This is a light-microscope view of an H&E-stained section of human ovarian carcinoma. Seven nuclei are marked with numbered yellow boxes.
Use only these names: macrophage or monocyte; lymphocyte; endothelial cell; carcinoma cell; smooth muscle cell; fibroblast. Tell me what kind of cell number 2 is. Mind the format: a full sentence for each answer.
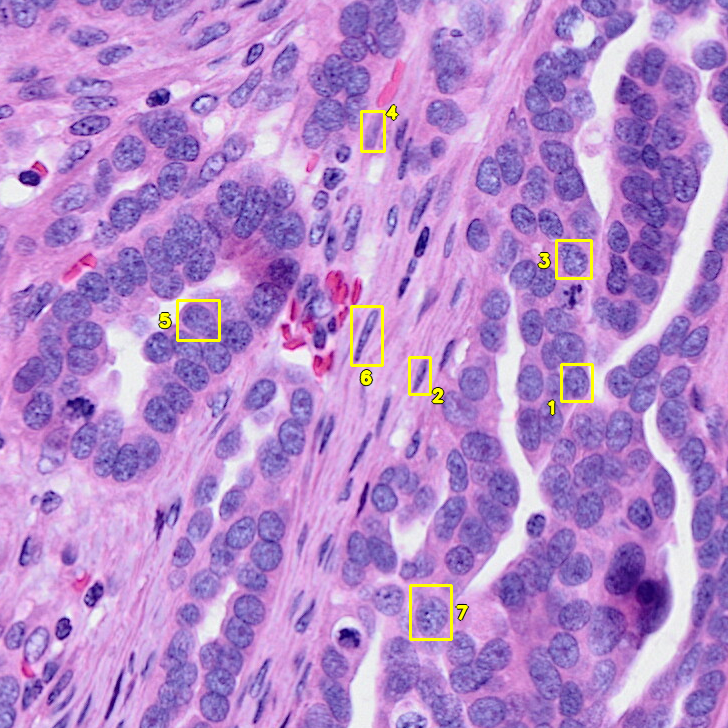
The correct label for cell 2 is a fibroblast.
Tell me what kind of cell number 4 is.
Number 4 is placed on a fibroblast here.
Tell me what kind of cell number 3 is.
The cell that carries the label 3 is a carcinoma cell.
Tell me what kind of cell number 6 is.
The marked cell bearing number 6 is a fibroblast.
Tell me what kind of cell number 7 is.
Cell 7 in the field is a carcinoma cell.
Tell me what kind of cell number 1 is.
Here the cell numbered 1 is a carcinoma cell.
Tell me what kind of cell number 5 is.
The numbered cell 5 in this field is a carcinoma cell.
